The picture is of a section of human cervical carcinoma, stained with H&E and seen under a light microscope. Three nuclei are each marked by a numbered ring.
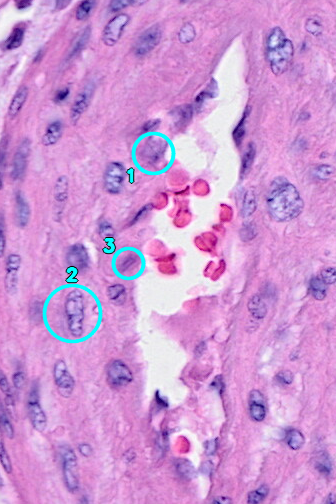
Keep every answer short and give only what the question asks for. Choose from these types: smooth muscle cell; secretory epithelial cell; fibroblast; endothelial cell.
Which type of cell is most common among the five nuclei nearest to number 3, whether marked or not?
smooth muscle cell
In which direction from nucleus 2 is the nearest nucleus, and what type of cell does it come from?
a smooth muscle cell; to the left of nucleus 2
